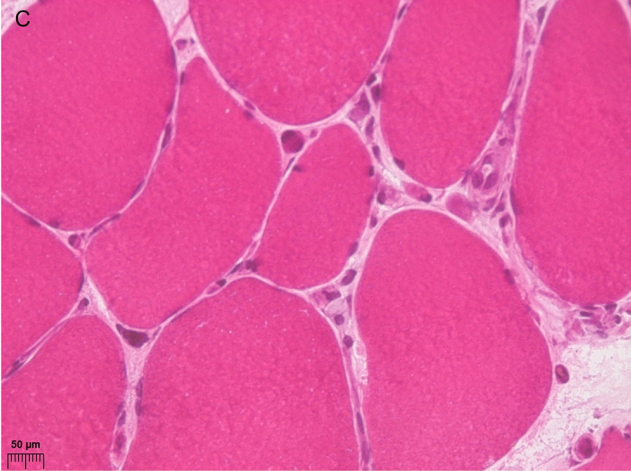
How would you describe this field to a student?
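This is skeletal muscle cut across, and each large pink rounded or polygonal profile is a single muscle fiber. The fibers are not all the same size: most are large, but a few smaller ones sit among them. Their cytoplasm is evenly pink with a faint fine texture. Thin pale strands of connective tissue separate the fibers, and the flattened dark purple nuclei of the fibers lie at their edges against this tissue. At the junctions between fibers, especially towards the right, small groups of extra dark nuclei gather in the spaces between the fibers.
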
